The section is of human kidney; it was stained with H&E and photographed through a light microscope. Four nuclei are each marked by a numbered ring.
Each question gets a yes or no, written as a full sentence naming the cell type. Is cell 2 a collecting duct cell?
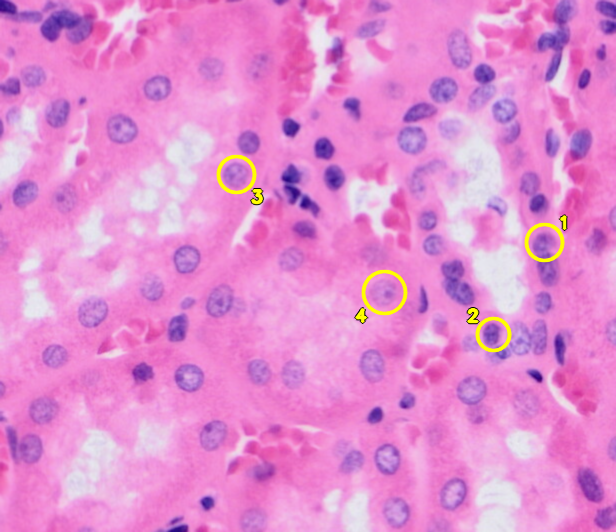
Yes, the cell marked with number 2 is a collecting duct cell.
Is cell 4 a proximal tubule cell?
Yes, in this section the cell with number 4 is a proximal tubule cell.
